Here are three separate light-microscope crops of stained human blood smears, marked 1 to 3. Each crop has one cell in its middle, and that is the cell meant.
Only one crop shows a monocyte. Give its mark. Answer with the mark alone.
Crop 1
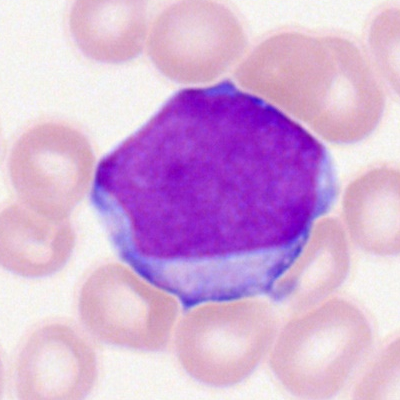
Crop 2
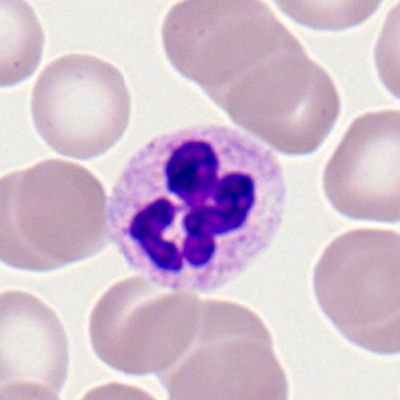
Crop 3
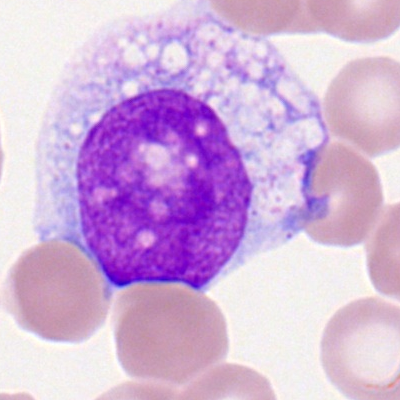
3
